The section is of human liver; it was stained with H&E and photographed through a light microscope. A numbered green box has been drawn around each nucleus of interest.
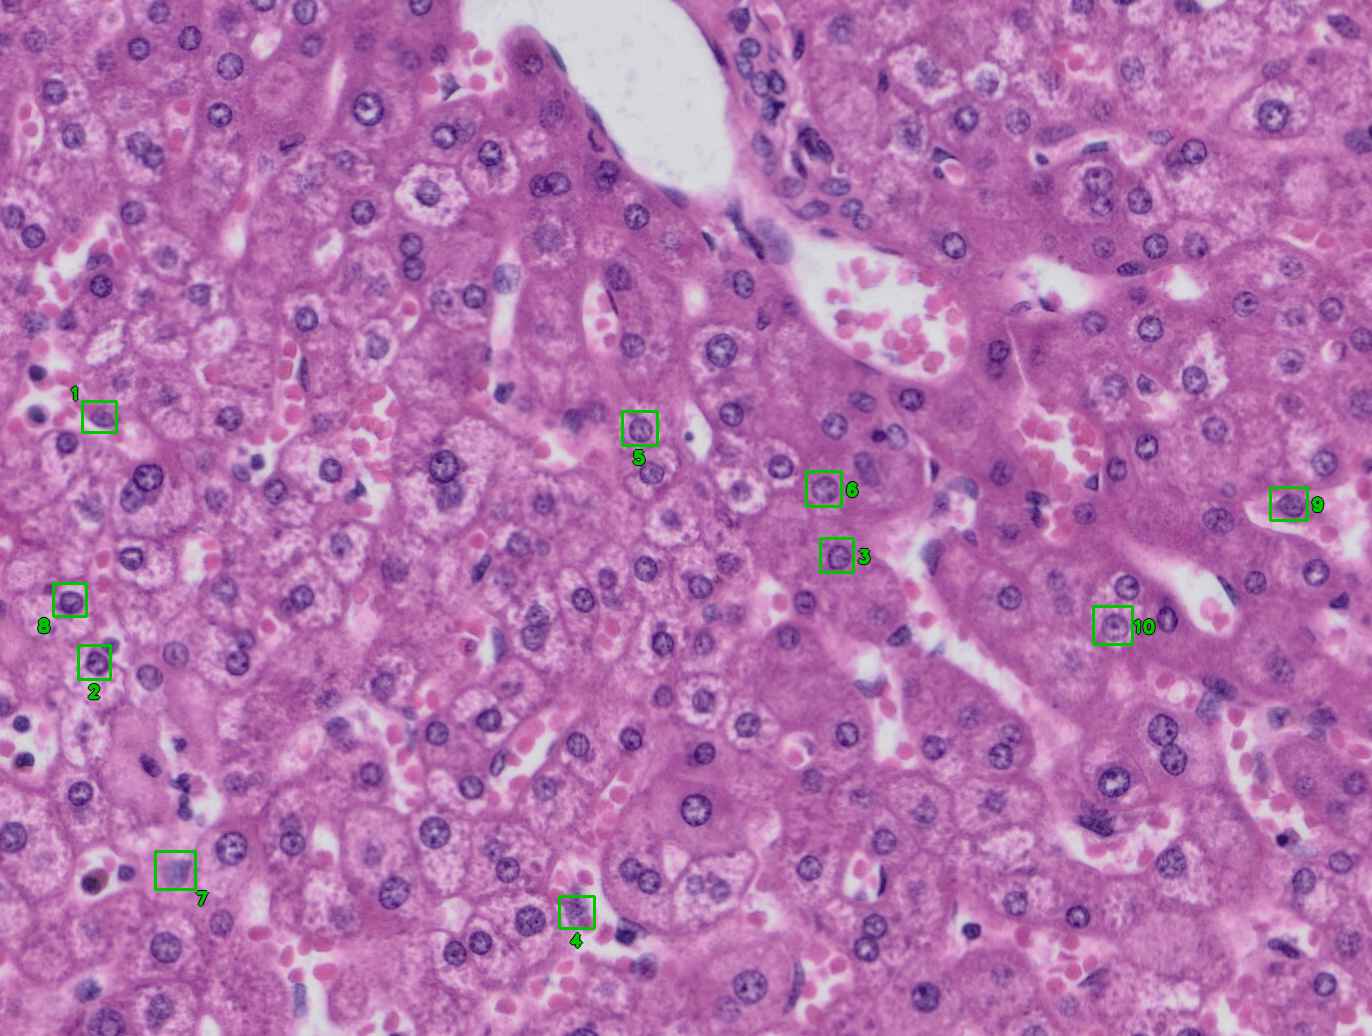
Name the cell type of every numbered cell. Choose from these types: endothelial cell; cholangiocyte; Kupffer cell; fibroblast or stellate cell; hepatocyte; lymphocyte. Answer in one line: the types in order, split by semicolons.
Kupffer cell; hepatocyte; hepatocyte; Kupffer cell; hepatocyte; hepatocyte; endothelial cell; hepatocyte; Kupffer cell; hepatocyte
